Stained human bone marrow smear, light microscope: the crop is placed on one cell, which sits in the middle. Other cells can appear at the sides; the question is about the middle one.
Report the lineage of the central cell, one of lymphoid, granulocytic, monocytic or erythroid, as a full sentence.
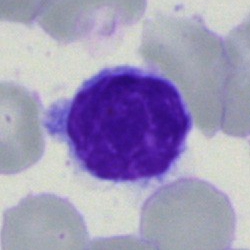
Regarding lineage, the cell in the center of this crop should be listed as lymphoid.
